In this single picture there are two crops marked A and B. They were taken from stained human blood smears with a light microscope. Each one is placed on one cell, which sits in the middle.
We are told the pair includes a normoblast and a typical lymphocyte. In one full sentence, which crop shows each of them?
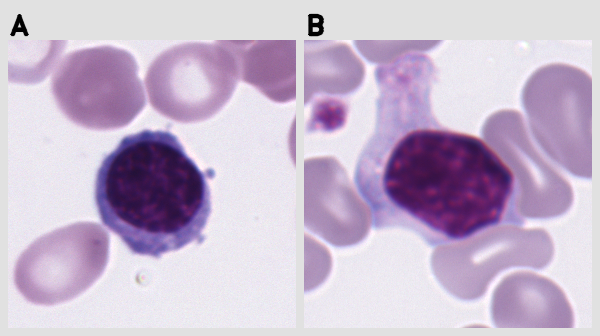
Crop A here is a normoblast, and crop B is a typical lymphocyte.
